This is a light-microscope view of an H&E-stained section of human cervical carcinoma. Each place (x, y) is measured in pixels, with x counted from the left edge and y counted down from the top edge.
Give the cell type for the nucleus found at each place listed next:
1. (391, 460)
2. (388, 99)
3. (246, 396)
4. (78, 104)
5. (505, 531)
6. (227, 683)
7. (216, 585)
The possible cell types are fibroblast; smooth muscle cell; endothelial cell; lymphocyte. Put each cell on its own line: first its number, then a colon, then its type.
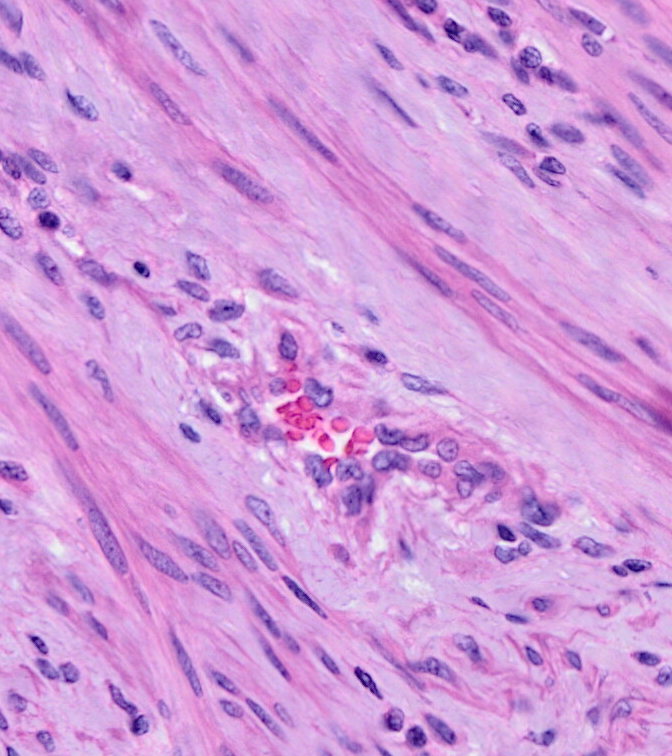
1: endothelial cell
2: fibroblast
3: endothelial cell
4: fibroblast
5: lymphocyte
6: smooth muscle cell
7: smooth muscle cell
